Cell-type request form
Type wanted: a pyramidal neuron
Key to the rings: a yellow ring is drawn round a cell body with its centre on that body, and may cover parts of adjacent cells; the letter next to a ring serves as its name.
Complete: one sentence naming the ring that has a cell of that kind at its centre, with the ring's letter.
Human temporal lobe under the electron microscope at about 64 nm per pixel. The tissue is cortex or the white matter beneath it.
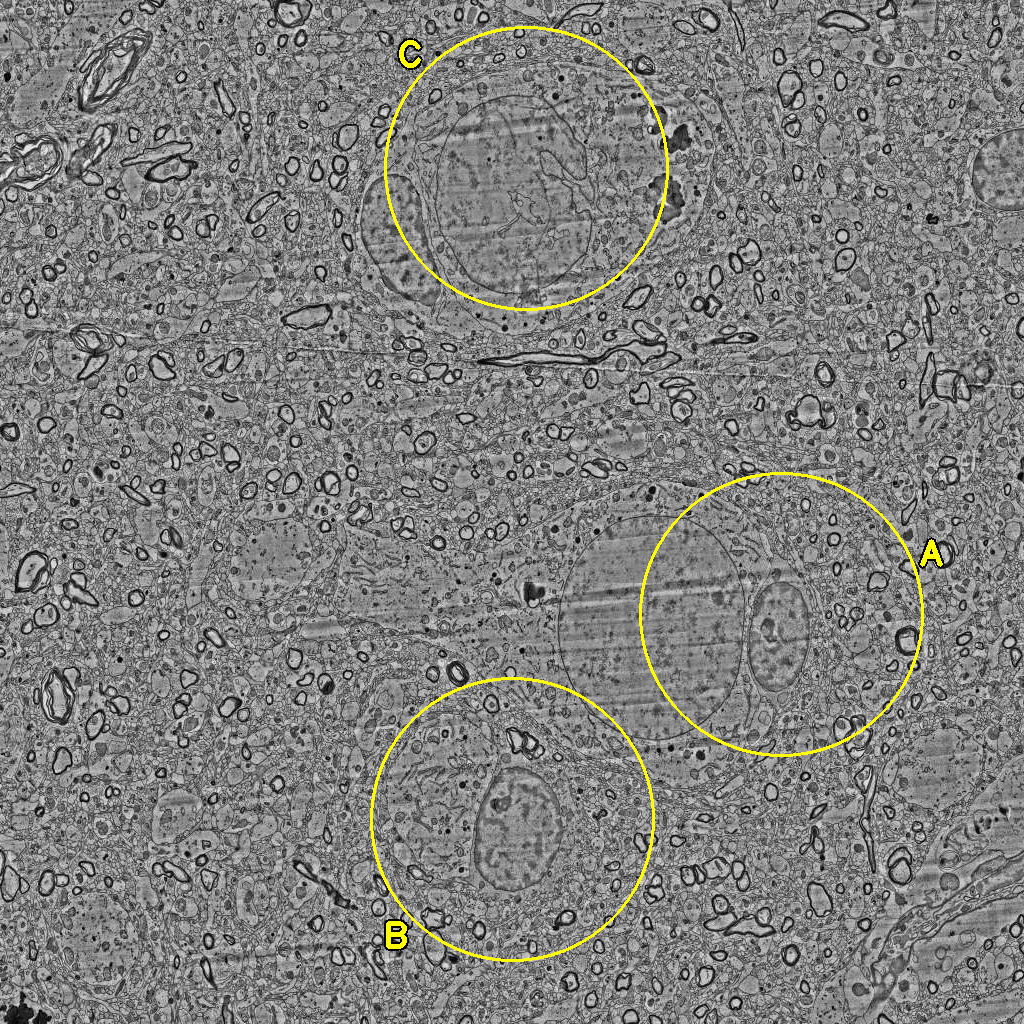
A cell of that kind sits at the centre of the ring labelled C.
